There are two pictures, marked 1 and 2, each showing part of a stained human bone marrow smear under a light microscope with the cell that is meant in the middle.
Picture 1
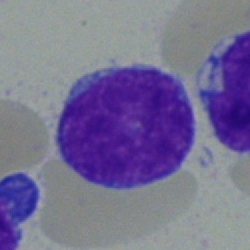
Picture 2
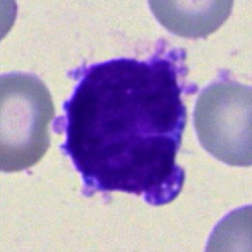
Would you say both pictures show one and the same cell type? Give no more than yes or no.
yes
